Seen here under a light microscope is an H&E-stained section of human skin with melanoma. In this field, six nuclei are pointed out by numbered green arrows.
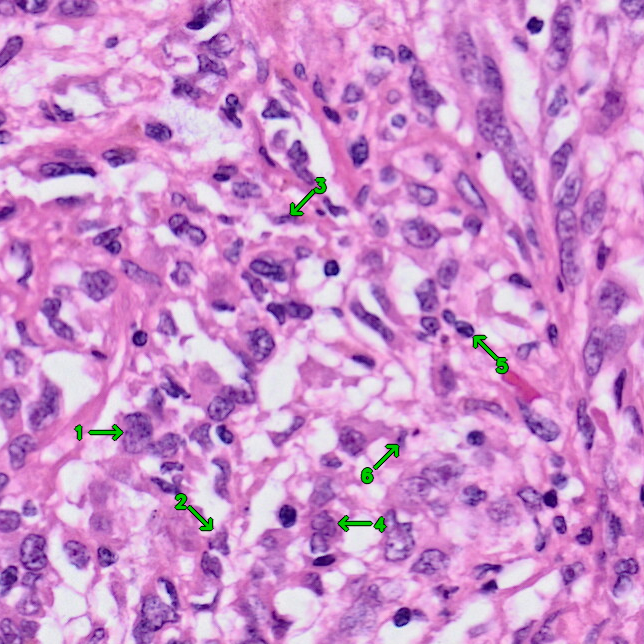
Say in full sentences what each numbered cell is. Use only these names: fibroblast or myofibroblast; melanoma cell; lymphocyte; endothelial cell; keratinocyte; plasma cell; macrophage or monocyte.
Cells 1, 2 and 4 are melanoma cells. Cell 3 is a fibroblast or myofibroblast. Cell 5 is a lymphocyte. Cell 6 is a macrophage or monocyte.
